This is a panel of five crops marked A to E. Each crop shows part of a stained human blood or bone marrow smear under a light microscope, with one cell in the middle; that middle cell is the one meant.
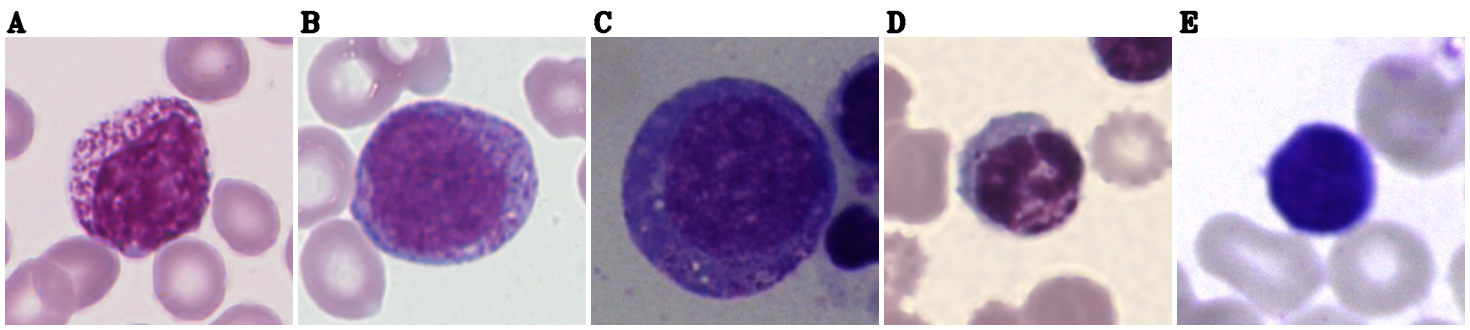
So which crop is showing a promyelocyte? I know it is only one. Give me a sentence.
Crop B is the crop in which a promyelocyte is shown.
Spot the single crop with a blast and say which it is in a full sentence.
In the set of crops, crop C is the one that contains a blast.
